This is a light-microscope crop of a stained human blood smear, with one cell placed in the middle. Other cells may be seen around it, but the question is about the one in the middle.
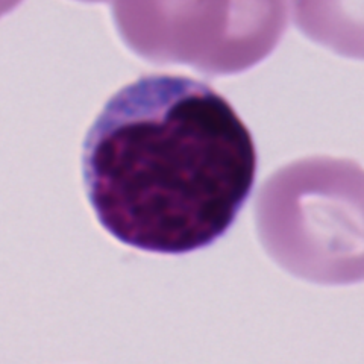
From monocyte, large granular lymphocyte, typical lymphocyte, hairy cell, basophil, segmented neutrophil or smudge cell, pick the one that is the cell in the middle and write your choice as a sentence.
Here the centrally located cell is a typical lymphocyte.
